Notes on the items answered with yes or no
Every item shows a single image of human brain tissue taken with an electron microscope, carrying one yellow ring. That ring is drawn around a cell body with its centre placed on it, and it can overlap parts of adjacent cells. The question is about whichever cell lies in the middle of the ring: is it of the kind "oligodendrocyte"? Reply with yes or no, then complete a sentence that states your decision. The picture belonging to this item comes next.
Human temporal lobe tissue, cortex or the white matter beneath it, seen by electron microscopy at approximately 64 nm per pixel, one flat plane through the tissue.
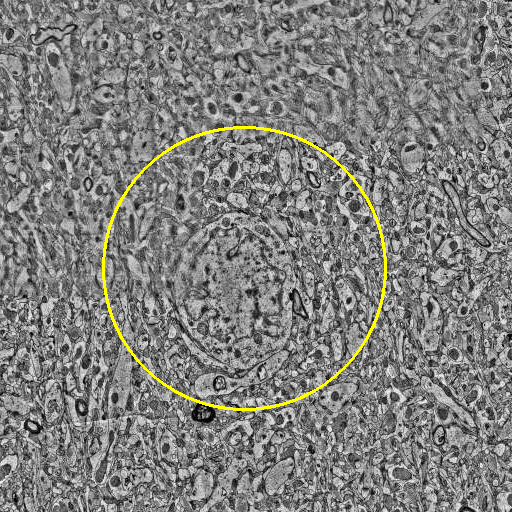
No, this micrograph shows a cell of another kind in the middle of the ring.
